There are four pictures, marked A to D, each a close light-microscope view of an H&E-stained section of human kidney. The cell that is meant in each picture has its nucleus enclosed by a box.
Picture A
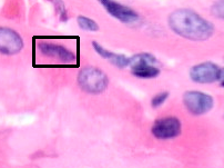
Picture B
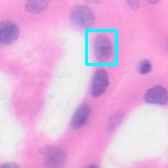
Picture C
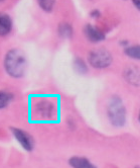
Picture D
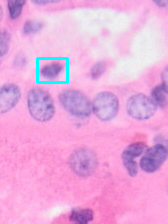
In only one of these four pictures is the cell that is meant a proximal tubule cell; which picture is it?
A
